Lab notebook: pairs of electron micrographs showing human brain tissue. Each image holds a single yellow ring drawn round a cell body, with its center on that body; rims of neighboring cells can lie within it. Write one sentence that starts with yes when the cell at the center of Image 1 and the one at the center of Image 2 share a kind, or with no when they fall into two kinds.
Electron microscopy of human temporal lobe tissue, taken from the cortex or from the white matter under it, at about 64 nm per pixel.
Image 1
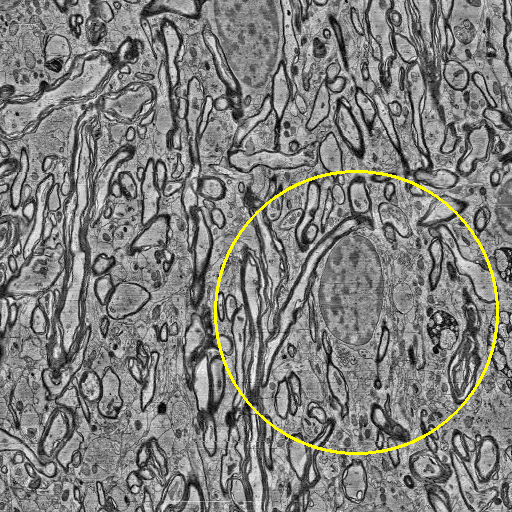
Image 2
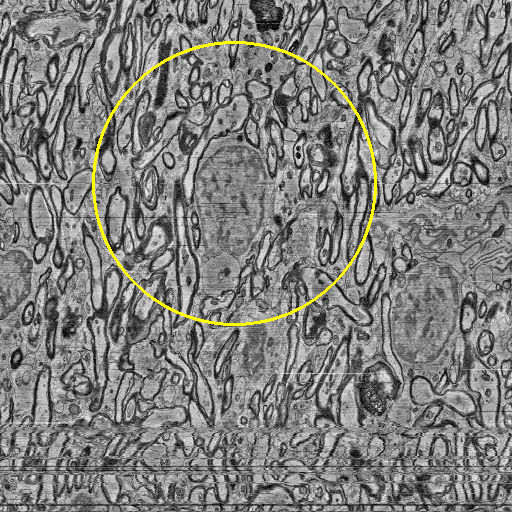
No, the centered cell in Image 1 and the centered cell in Image 2 are of two kinds.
